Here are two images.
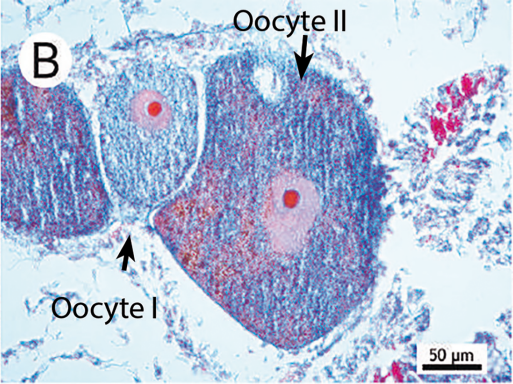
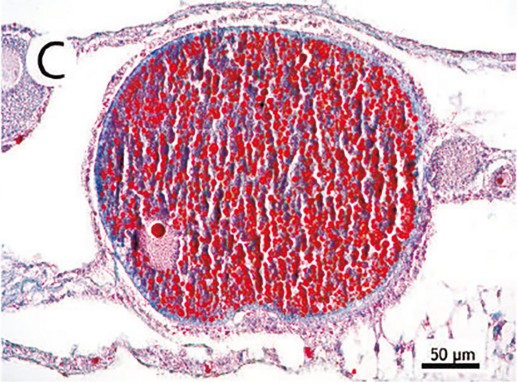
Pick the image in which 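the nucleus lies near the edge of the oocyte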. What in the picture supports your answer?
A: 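The second image. First image: the nucleus of each oocyte sits toward the middle of the cell. Second image: the nucleus lies near the lower left border of the oocyte.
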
